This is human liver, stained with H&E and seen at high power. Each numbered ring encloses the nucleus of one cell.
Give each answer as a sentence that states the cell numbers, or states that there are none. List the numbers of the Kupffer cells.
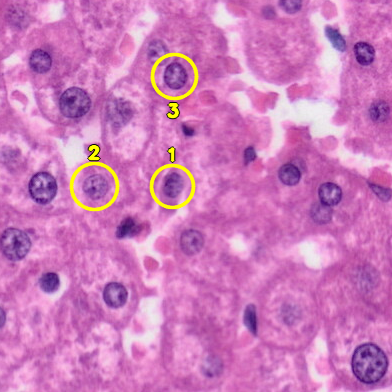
Of the numbered cells, only cell 1 is a Kupffer cell.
